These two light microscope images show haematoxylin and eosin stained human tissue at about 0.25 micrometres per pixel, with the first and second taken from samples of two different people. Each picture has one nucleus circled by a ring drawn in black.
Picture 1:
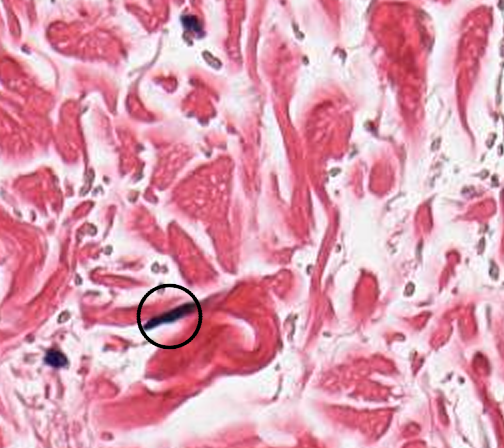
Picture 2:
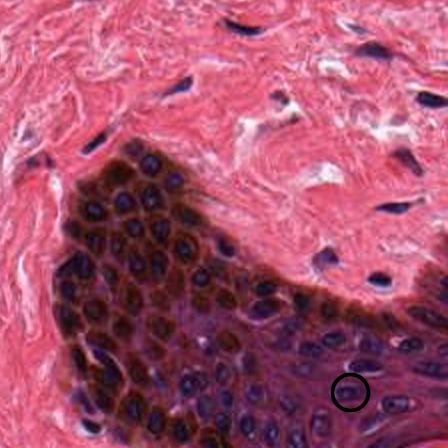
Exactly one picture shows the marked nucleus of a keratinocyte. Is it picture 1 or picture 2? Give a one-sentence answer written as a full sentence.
The nucleus bearing the mark in picture 2 belongs to a keratinocyte.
